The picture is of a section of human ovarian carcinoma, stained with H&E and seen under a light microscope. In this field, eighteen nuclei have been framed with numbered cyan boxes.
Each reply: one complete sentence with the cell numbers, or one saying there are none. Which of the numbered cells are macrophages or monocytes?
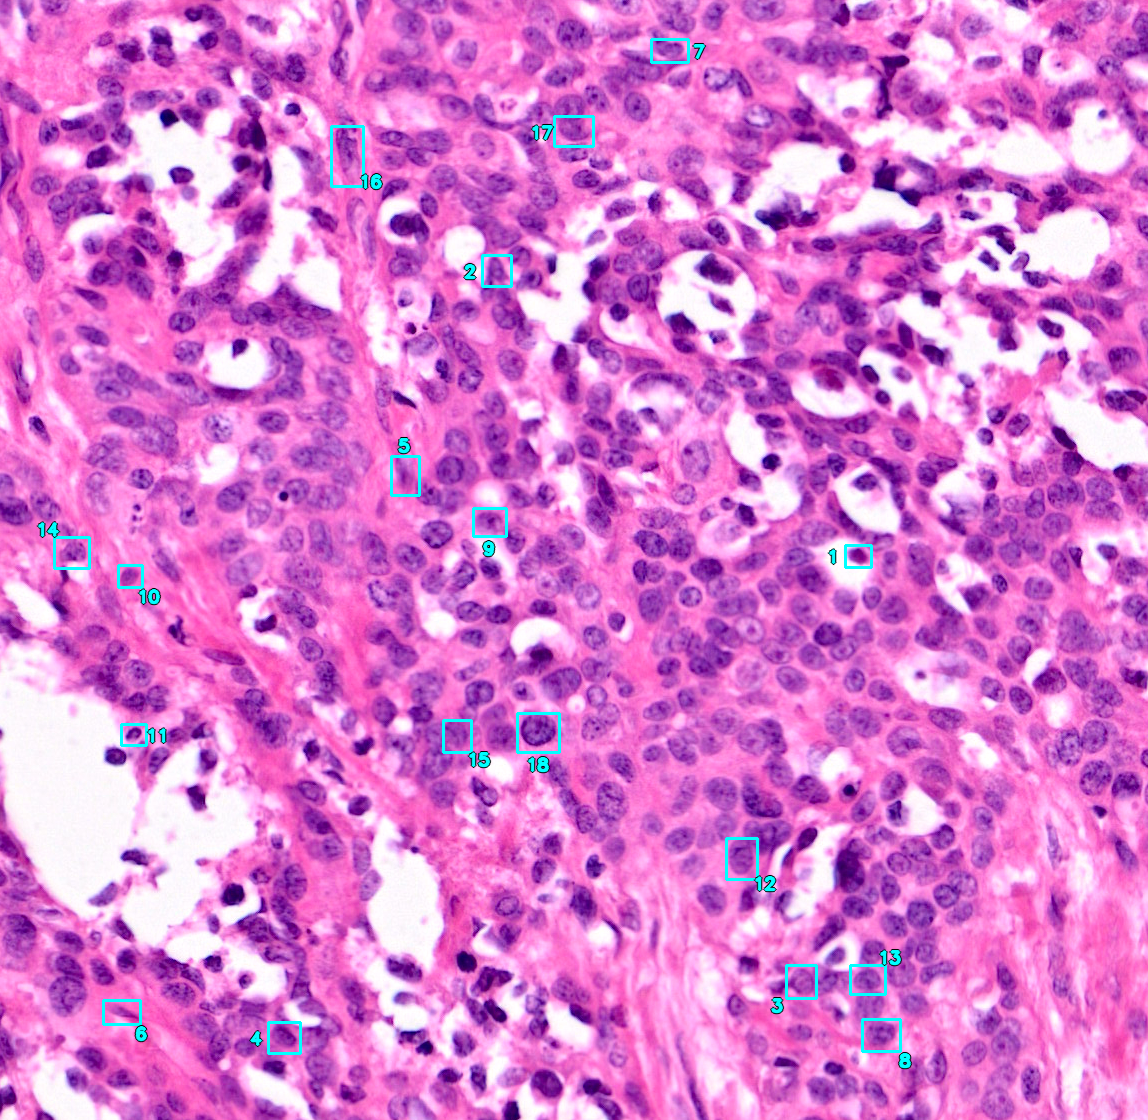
The cells carrying the numbers 2, 7, 11 and 14 are macrophages or monocytes.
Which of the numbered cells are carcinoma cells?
Cells numbered 1, 3, 4, 8, 9, 12, 13, 15, 17 and 18 belong to the group of carcinoma cells.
